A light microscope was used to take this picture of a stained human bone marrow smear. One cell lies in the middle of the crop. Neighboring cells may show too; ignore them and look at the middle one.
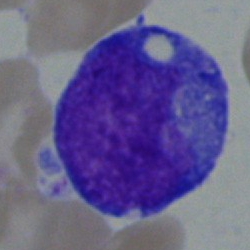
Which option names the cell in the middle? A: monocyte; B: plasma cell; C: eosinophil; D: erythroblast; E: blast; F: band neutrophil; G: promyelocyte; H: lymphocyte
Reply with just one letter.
E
